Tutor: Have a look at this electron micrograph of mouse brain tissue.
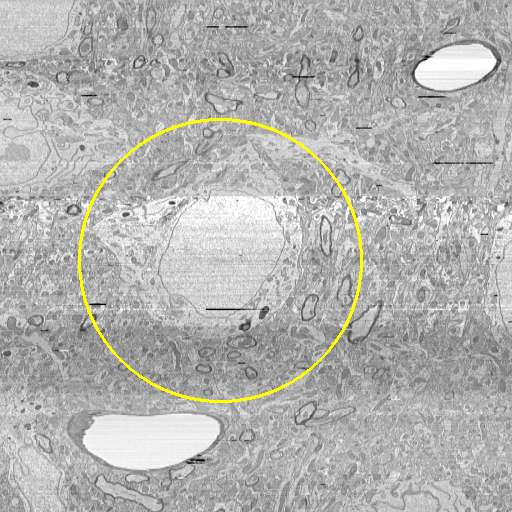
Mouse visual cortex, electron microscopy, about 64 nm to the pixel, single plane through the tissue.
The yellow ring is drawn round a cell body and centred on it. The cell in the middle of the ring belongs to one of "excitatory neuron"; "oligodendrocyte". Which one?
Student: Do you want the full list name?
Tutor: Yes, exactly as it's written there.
excitatory neuron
